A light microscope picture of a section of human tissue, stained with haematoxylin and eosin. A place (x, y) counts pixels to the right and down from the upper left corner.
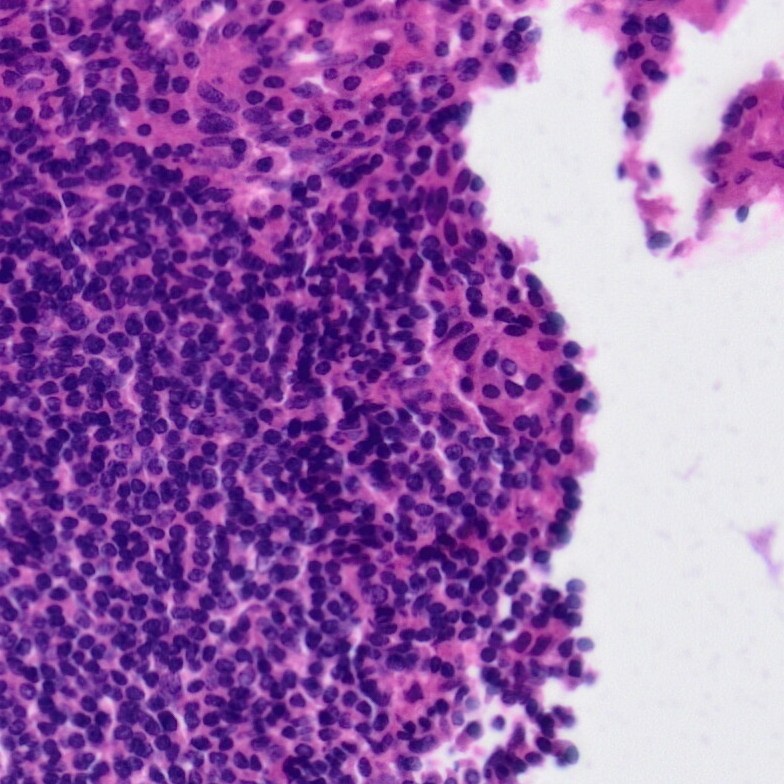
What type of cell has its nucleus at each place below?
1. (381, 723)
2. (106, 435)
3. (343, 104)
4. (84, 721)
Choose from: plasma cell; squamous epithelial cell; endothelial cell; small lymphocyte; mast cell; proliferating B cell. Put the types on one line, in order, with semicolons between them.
small lymphocyte; small lymphocyte; plasma cell; small lymphocyte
